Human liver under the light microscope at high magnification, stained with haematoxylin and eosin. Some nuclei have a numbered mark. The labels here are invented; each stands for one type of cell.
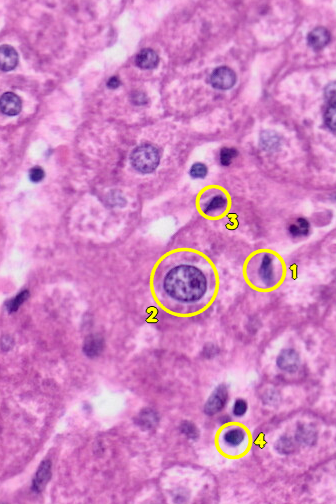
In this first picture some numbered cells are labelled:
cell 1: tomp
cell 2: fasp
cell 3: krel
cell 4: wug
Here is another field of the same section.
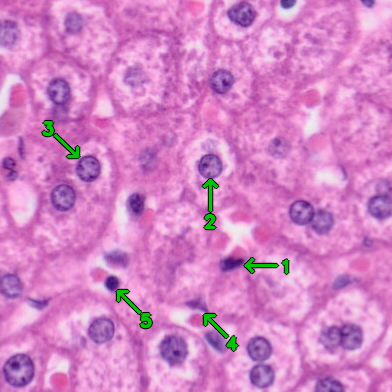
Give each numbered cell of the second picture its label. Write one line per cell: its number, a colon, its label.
1: krel
2: fasp
3: fasp
4: tomp
5: wug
